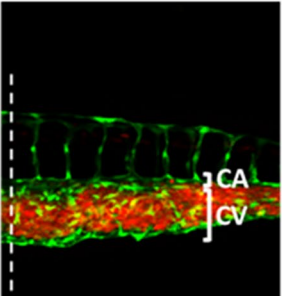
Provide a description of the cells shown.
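Thin green vessels rise regularly from the axial vessels toward the dorsal side. The lower venous region is wide and crowded with red cells along much of the image.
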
